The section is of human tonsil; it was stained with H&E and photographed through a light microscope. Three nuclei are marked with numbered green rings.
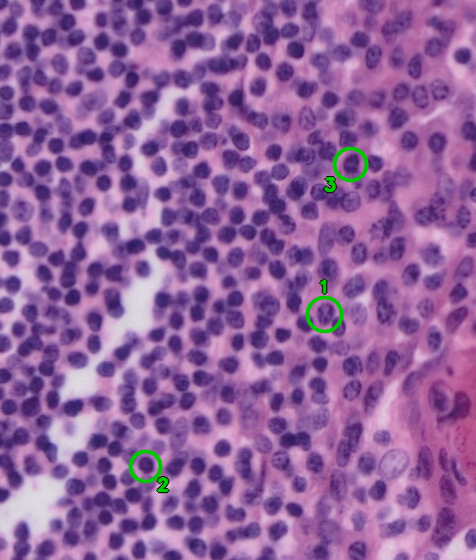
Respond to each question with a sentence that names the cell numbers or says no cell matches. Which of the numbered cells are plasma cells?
Within the section, cells numbered 1 and 3 are plasma cells.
